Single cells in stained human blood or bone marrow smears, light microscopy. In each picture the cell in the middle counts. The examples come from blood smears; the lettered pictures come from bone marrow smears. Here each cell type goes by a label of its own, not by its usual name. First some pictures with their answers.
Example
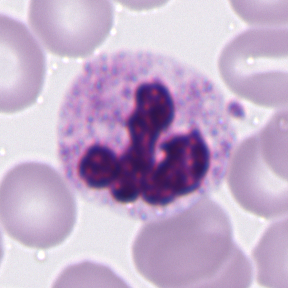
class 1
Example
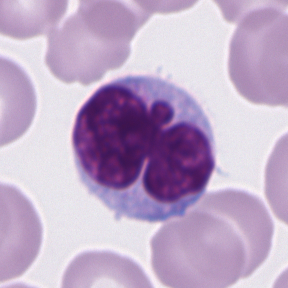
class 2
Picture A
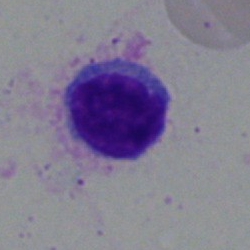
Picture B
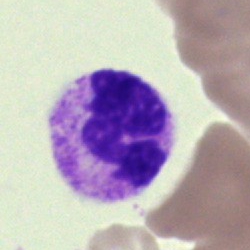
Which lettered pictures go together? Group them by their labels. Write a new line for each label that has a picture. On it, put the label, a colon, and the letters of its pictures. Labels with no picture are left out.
class 1: B
class 2: A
